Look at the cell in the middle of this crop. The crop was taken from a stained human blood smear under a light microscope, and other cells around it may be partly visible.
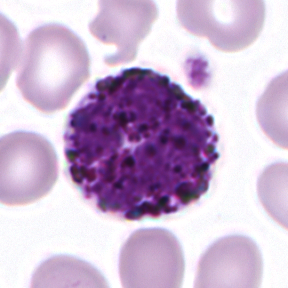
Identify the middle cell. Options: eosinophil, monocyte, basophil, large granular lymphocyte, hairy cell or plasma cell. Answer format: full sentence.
This crop is built around a basophil at its centre.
